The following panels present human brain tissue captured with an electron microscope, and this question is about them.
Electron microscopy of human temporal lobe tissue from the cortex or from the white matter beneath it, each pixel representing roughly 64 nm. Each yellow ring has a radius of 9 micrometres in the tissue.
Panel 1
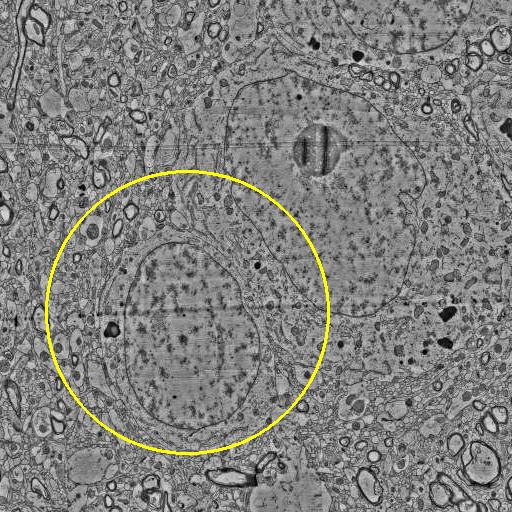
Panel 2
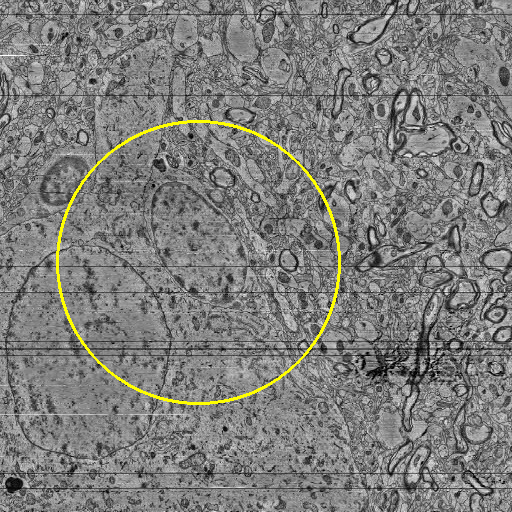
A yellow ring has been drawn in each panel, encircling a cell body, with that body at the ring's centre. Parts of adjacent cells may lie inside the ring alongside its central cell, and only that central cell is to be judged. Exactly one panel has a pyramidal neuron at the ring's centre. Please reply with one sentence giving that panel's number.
The ring whose central cell fits the description is the one in panel 1.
